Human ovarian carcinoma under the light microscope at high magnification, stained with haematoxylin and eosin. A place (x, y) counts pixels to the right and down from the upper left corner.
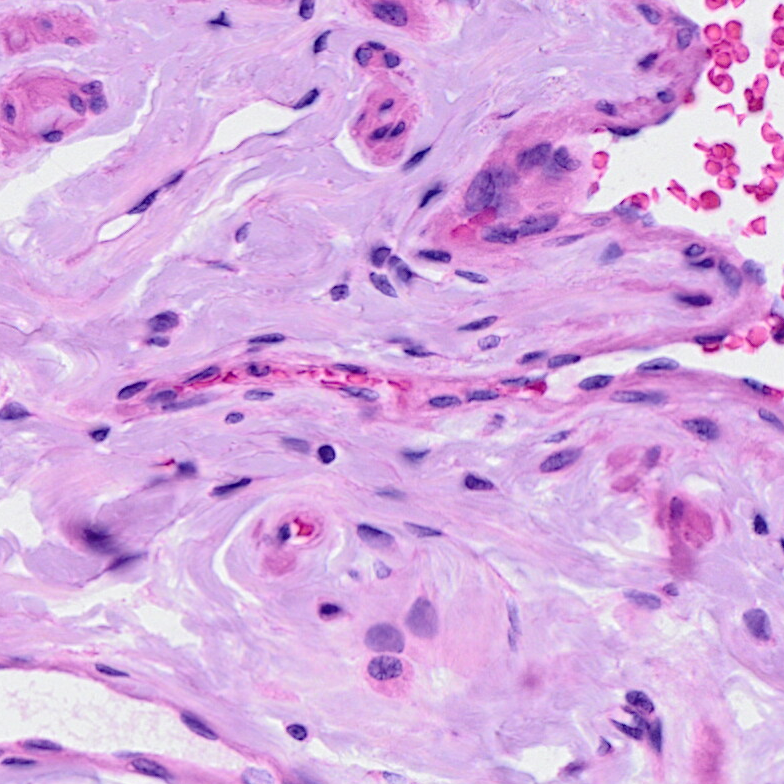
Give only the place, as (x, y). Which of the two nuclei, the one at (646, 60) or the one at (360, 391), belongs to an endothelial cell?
(360, 391)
